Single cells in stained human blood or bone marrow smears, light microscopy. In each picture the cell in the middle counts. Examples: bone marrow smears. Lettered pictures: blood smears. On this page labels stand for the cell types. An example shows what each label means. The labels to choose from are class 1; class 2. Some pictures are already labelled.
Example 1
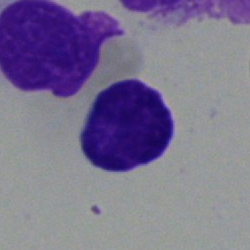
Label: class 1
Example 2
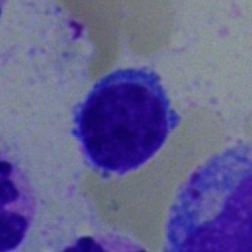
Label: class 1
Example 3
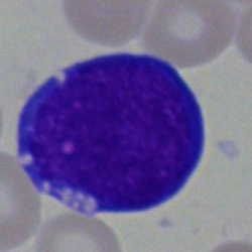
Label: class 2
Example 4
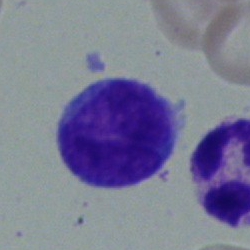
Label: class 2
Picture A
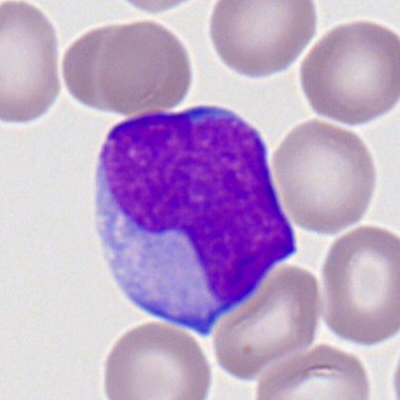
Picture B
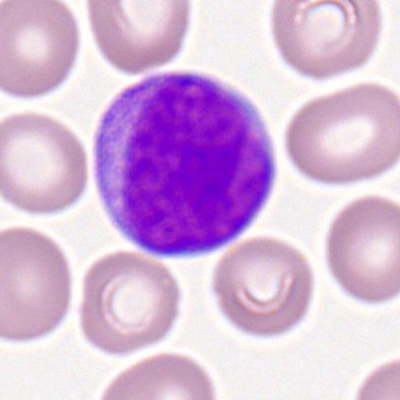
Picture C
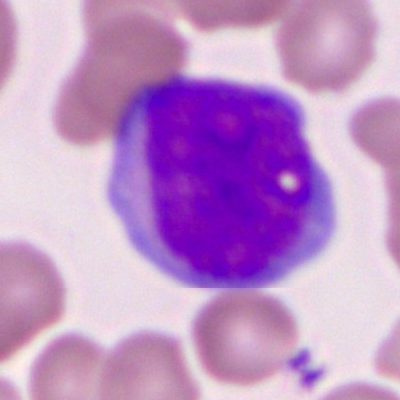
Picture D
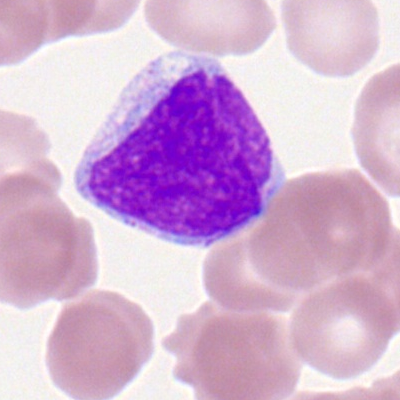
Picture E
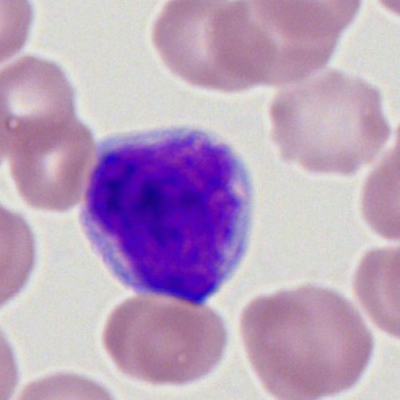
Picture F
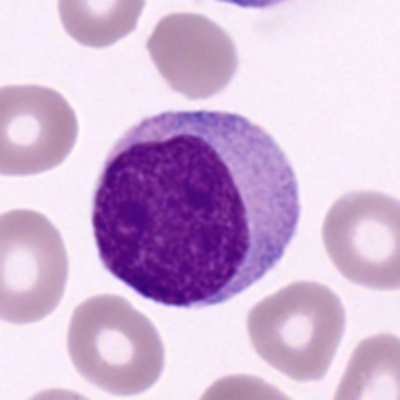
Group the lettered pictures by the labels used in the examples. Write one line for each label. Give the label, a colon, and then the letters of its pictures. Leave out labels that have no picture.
class 2: A, B, C, D, E, F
